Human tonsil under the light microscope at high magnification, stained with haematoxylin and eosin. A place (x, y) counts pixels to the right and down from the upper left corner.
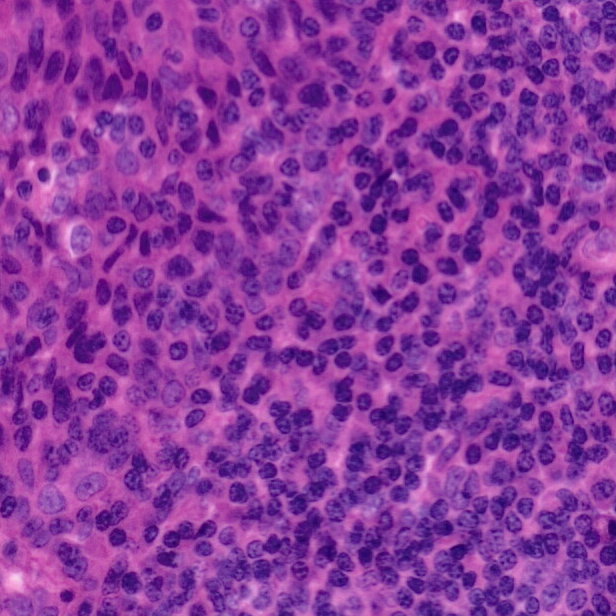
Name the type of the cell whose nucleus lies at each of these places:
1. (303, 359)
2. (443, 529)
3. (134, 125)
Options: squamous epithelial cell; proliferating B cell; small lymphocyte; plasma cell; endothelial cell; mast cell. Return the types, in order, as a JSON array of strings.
["plasma cell", "small lymphocyte", "plasma cell"]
